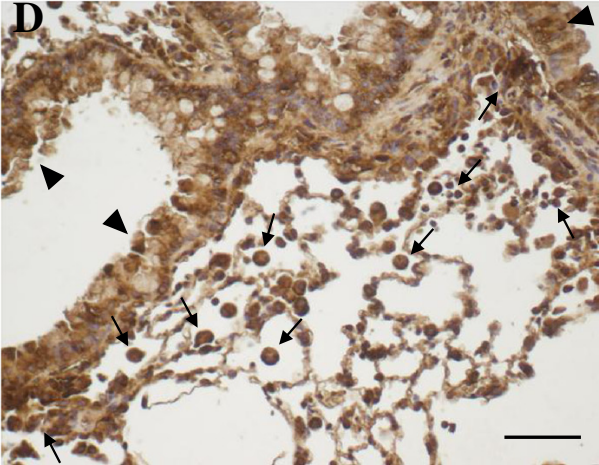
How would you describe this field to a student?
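This is lung with an airway lined by bronchial epithelial cells, which are thickened, crowded and strongly brown, with many pale, vacuolated cells among them. Next to the airway the alveolar spaces contain numerous large, round, free-lying inflammatory cells, including alveolar macrophages, with intensely brown cytoplasm. The alveolar walls also take up a brown stain.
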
